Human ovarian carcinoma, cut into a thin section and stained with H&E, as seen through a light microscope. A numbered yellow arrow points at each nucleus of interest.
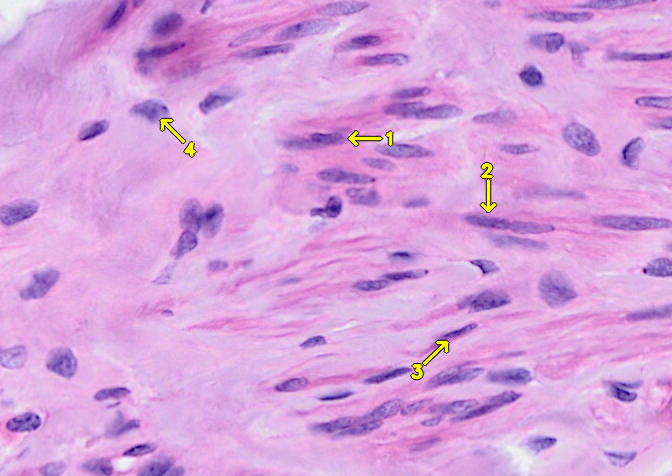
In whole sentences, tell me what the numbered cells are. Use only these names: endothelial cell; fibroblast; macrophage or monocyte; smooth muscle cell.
Cells 1, 2 and 3 are smooth muscle cells. Cell 4 is a fibroblast.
